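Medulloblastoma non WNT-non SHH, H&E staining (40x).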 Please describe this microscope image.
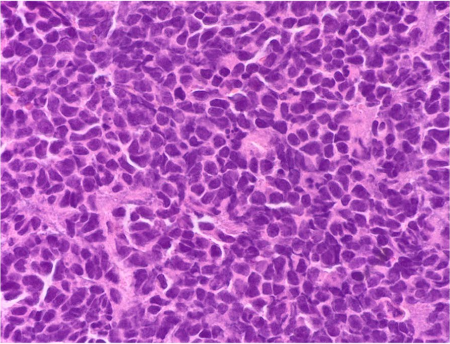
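This is a densely cellular embryonal tumour made of sheets of small, round to oval cells with very little cytoplasm, so the field is dominated by crowded, dark purple, hyperchromatic nuclei that often mould against one another. Nuclear size and shape vary somewhat, with some elongated and angulated forms. Between the cells run thin strands of pale pink fibrillary material, and in a few spots this material forms small pale centres around which nuclei gather, in keeping with occasional rosettes.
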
